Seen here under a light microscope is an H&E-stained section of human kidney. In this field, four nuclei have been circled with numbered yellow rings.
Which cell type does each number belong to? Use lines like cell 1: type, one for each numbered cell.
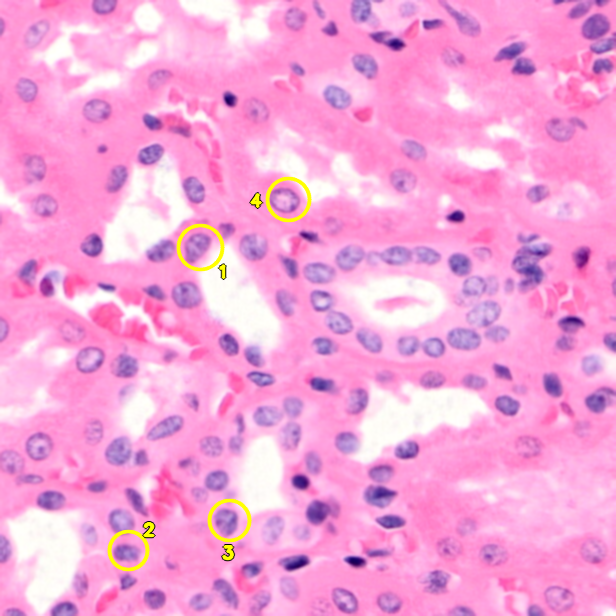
cell 1: loop of Henle or distal tubule cell
cell 2: loop of Henle or distal tubule cell
cell 3: collecting duct cell
cell 4: proximal tubule cell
